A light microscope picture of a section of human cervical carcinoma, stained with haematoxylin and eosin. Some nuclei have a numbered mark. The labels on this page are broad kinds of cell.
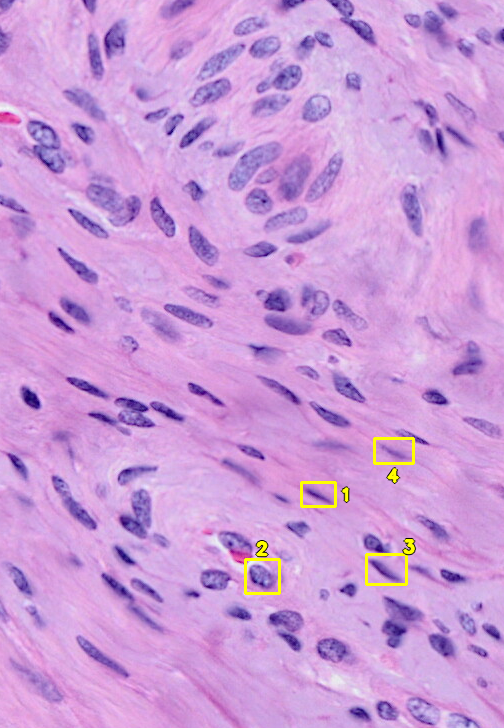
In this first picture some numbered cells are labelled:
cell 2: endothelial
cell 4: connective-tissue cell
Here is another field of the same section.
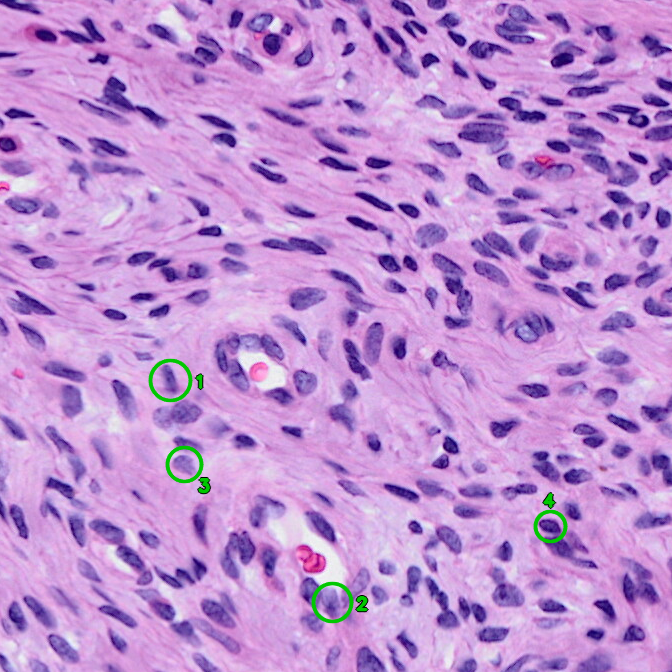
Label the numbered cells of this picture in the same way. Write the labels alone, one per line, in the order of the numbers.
connective-tissue cell
endothelial
connective-tissue cell
connective-tissue cell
